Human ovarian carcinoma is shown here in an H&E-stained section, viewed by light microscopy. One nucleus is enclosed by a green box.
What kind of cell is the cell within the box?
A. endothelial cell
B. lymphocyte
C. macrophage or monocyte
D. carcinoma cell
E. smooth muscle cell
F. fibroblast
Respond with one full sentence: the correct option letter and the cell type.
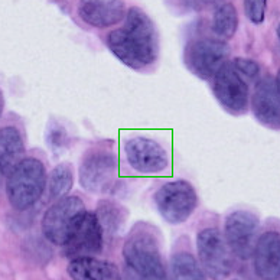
Option C is correct here; the cell within the box is a macrophage or monocyte.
